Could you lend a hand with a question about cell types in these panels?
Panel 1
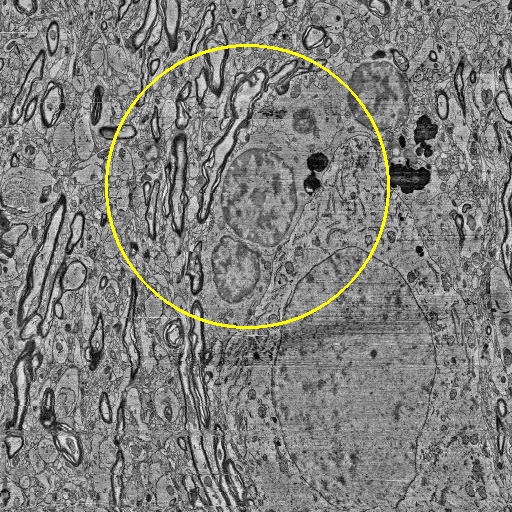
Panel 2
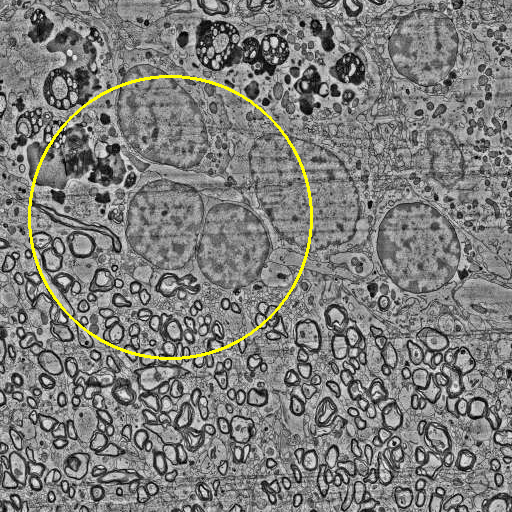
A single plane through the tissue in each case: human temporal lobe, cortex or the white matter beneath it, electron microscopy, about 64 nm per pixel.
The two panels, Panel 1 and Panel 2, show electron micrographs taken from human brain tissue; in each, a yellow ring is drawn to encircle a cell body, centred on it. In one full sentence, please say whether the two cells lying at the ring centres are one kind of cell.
Yes, the cells at the ring centres in the two panels are one kind of cell.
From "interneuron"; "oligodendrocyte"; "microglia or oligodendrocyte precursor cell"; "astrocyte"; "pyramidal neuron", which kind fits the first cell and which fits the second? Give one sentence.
Each of the two rings is centred on an oligodendrocyte.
